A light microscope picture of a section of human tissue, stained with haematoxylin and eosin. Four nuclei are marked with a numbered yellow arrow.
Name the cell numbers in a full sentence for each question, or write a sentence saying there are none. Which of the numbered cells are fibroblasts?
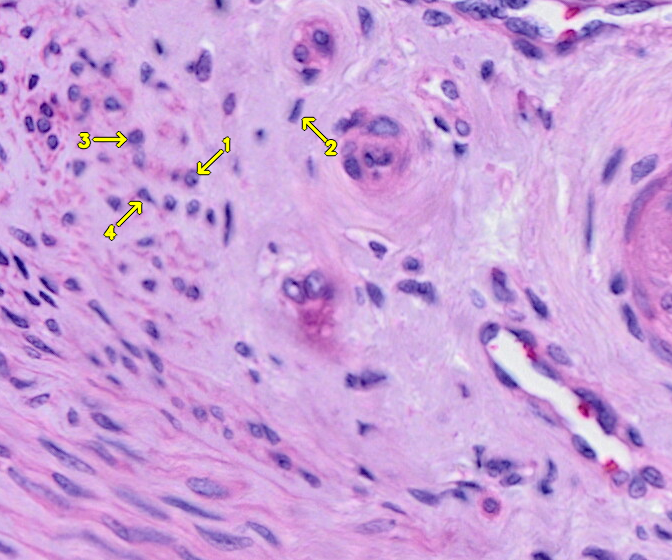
Only number 2 is a fibroblast; none of the others are.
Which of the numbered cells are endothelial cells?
Any endothelial cells present in the section are not among the numbered cells.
